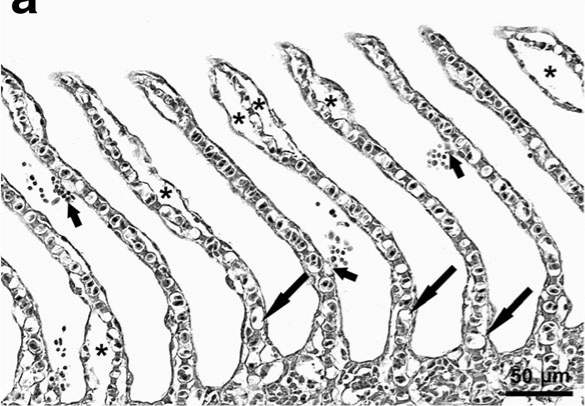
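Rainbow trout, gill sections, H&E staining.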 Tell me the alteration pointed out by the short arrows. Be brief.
Haemorrhages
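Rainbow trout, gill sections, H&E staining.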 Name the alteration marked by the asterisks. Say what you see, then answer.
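At the asterisks the outer cell layer of the lamella is separated from the core by a clear space. The affected lamellae look swollen with pale gaps inside. The answer: Epithelial lifting.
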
